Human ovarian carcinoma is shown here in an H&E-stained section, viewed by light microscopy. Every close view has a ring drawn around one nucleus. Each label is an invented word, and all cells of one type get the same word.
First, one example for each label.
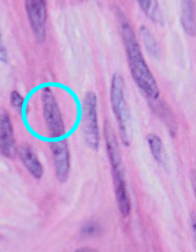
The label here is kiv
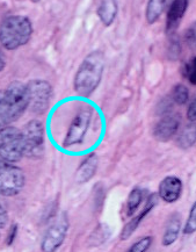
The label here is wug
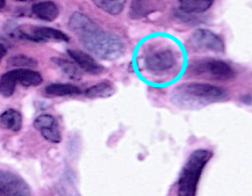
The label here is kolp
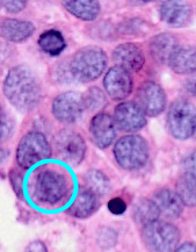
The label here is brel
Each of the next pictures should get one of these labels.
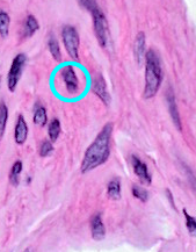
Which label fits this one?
kiv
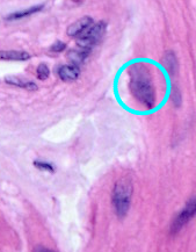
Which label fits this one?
kiv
